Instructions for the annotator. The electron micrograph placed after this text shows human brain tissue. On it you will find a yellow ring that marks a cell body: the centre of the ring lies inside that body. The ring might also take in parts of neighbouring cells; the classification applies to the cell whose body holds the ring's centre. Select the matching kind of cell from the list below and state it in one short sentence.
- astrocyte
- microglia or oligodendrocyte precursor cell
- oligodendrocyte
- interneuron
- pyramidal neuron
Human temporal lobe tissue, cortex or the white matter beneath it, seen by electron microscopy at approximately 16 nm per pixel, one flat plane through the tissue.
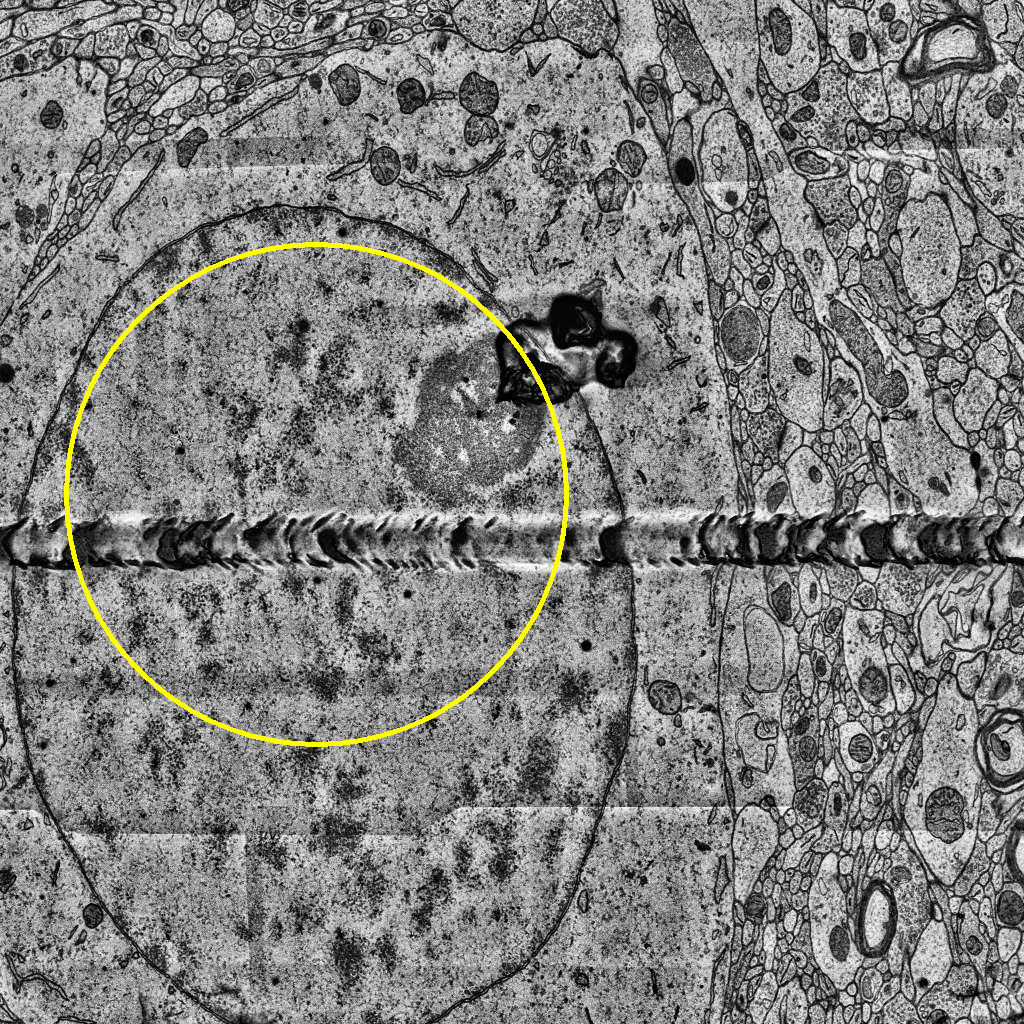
The centre of the ring lies in the cell body of a pyramidal neuron.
